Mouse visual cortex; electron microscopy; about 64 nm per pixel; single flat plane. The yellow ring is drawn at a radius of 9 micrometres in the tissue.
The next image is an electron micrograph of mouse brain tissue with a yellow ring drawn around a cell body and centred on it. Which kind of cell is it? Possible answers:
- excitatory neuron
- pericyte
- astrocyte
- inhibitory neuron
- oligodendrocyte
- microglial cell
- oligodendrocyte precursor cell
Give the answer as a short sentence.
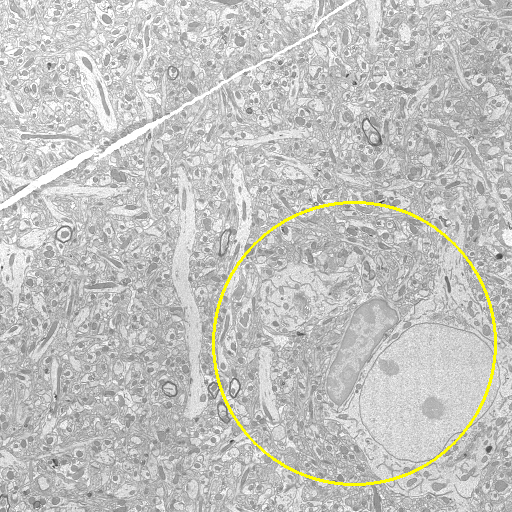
In the ring's centre is a microglial cell.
